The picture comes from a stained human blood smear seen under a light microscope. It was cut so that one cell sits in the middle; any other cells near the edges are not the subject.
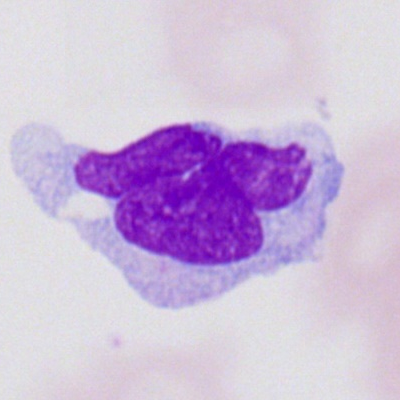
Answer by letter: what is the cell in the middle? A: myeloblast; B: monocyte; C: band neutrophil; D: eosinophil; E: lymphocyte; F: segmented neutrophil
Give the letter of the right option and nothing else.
B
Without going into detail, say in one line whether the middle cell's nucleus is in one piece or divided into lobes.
The nucleus here is split into two or more lobes, not one.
